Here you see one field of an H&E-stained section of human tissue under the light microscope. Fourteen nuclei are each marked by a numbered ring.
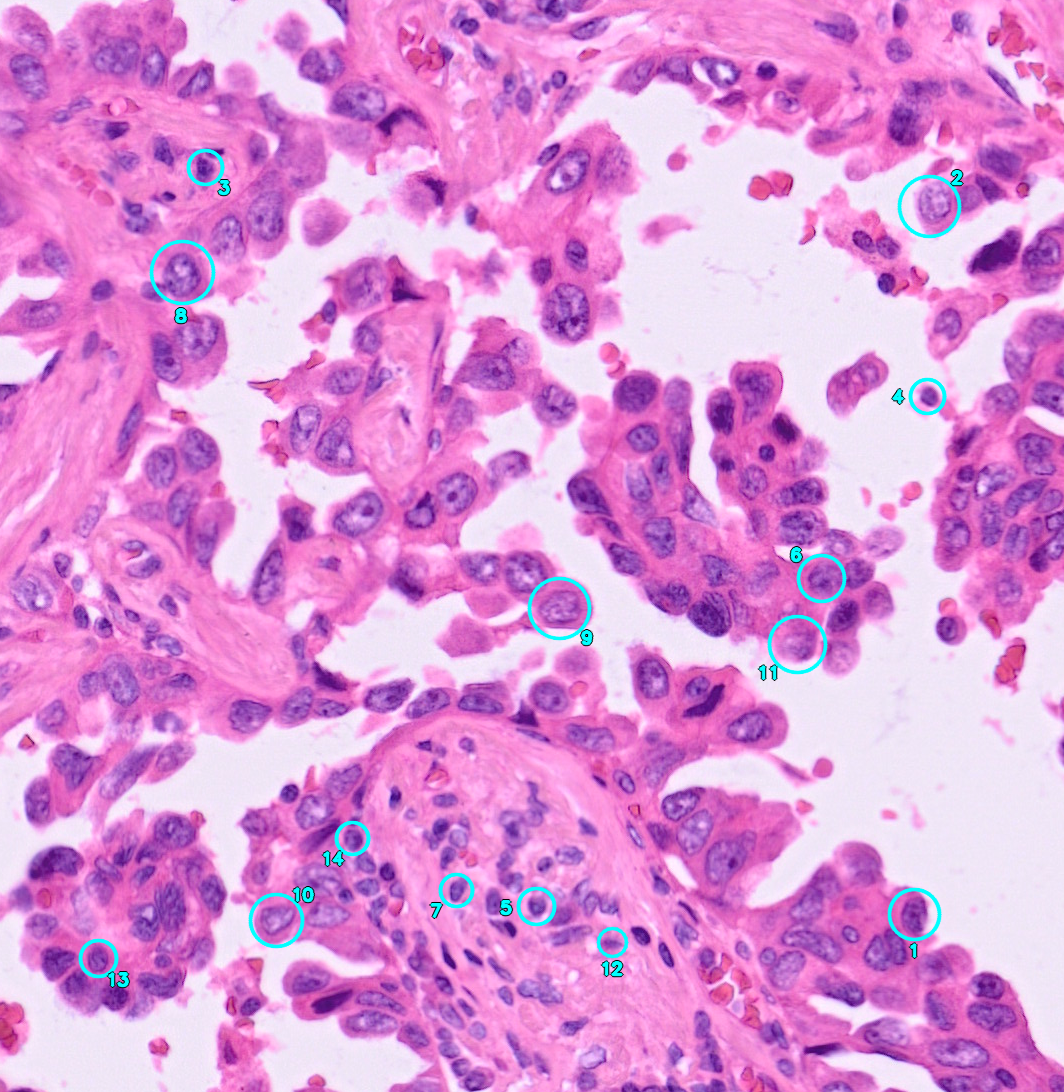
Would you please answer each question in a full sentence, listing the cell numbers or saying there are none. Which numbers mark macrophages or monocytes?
Among the numbered cells, there are no macrophages or monocytes.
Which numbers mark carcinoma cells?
To be specific, the cells numbered 1, 2, 6, 8, 9, 10, 11 and 13 are carcinoma cells.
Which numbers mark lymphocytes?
The cells marked 4, 5, 7 and 14 in the section are lymphocytes.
